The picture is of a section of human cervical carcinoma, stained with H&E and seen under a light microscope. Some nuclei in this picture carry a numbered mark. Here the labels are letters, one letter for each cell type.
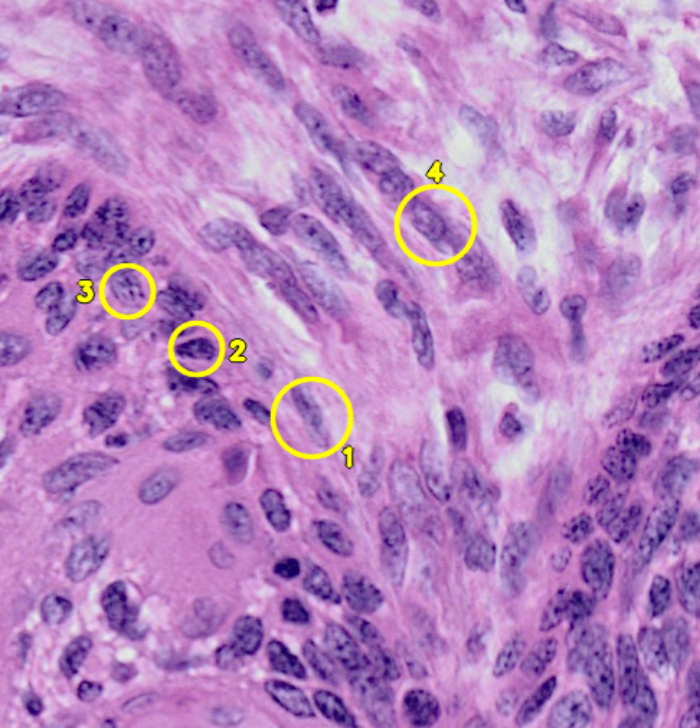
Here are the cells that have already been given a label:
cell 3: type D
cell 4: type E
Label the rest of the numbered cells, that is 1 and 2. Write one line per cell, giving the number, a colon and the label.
1: type E
2: type D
